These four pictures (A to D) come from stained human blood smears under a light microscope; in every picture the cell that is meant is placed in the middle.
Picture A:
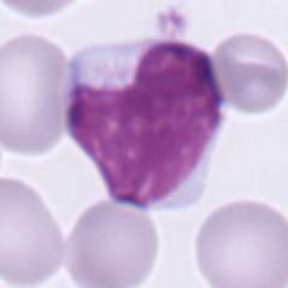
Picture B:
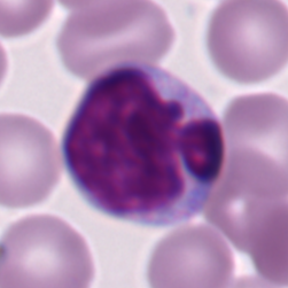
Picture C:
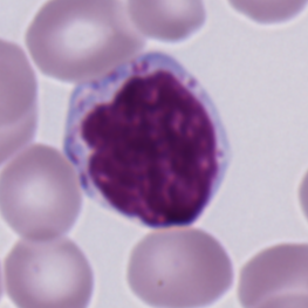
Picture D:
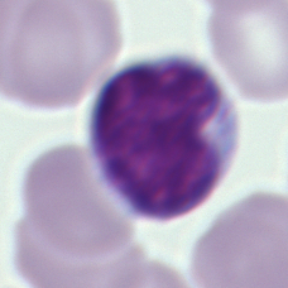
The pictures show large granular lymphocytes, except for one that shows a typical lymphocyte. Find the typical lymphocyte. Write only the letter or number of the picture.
D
